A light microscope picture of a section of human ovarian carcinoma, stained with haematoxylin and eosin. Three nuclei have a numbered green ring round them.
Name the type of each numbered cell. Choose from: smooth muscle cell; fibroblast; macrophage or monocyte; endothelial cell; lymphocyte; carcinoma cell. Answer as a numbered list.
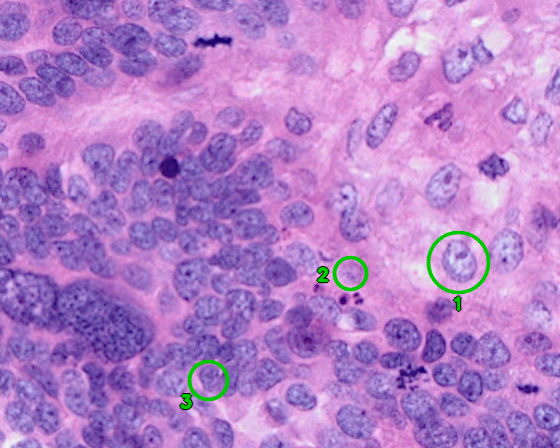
1. fibroblast
2. fibroblast
3. carcinoma cell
